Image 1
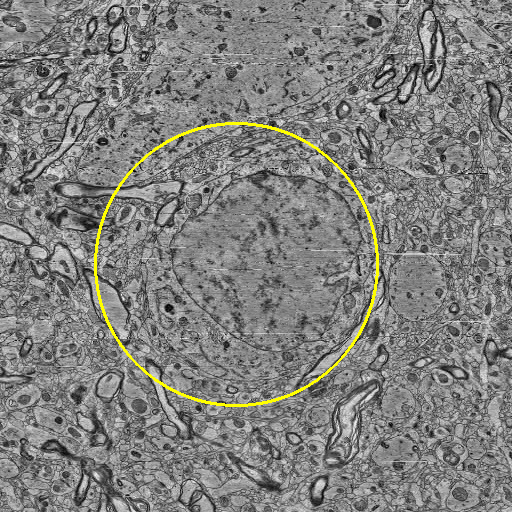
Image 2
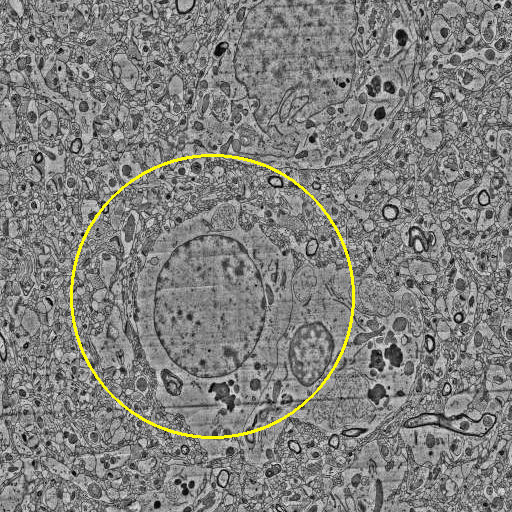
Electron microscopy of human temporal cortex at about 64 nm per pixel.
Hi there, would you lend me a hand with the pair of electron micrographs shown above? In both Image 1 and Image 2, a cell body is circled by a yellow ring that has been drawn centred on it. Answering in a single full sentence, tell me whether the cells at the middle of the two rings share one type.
No, the ringed cells in Image 1 and Image 2 belong to two types.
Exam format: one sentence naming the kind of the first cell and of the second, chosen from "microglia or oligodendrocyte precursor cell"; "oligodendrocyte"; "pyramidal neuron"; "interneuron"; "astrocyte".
The first picture's cell is a pyramidal neuron, and the second picture's cell is an astrocyte.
